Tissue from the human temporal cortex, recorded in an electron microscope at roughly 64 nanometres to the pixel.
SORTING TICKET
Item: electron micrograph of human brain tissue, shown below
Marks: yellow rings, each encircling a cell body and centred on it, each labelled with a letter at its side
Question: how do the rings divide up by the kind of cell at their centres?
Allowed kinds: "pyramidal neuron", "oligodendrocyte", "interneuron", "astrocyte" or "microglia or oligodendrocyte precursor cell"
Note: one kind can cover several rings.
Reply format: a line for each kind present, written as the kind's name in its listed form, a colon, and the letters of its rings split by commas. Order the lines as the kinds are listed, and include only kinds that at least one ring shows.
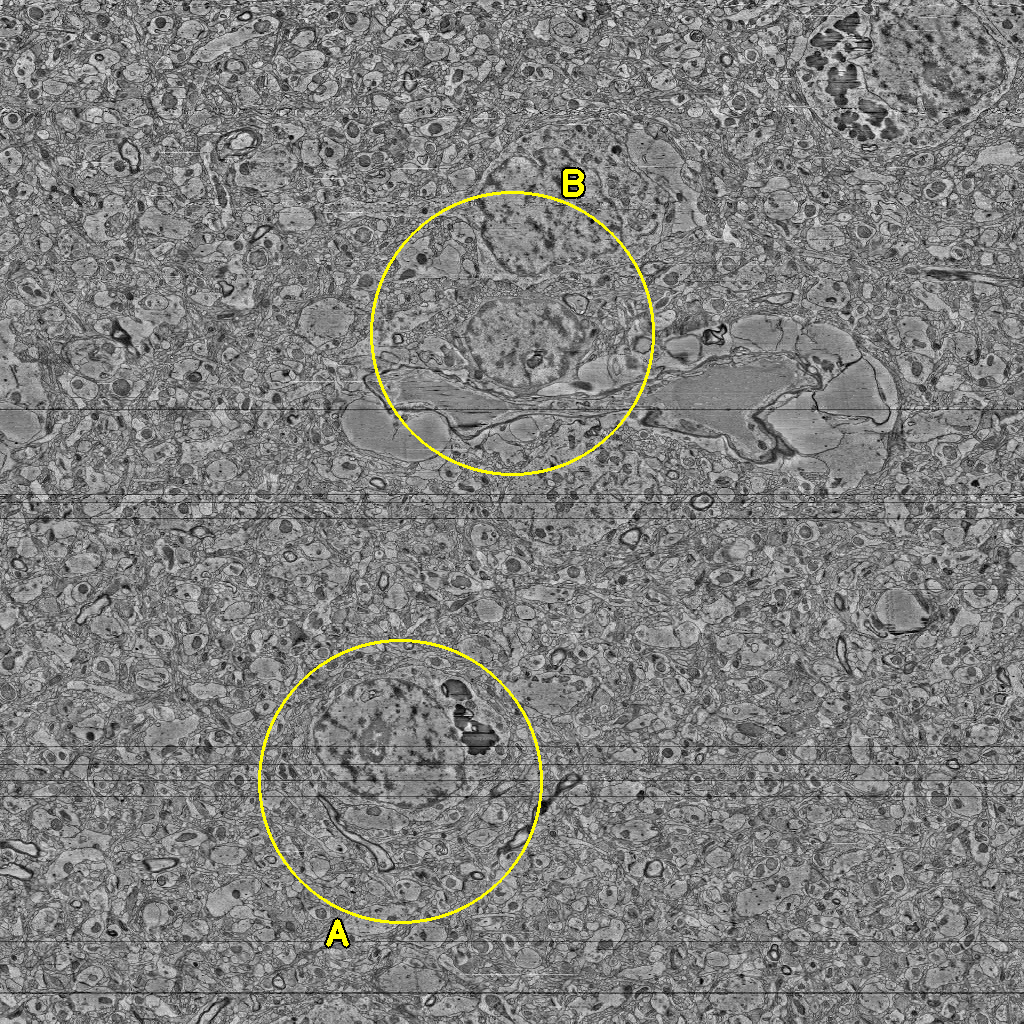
oligodendrocyte: B
interneuron: A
